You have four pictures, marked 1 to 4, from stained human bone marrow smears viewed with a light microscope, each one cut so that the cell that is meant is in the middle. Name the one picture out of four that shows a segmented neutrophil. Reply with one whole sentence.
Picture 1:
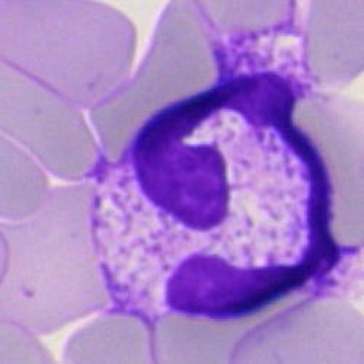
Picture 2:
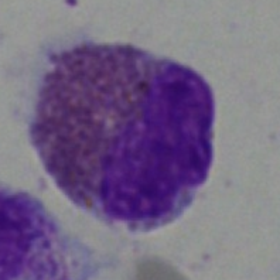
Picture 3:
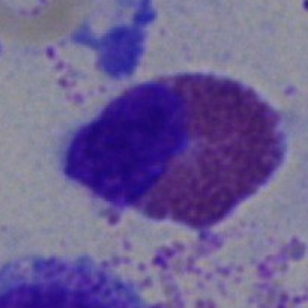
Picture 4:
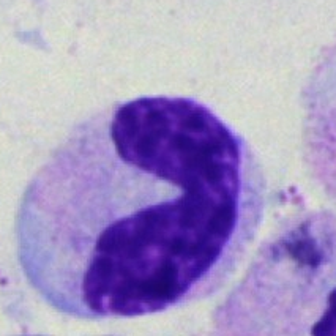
Picture 1 is the one that shows the segmented neutrophil.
